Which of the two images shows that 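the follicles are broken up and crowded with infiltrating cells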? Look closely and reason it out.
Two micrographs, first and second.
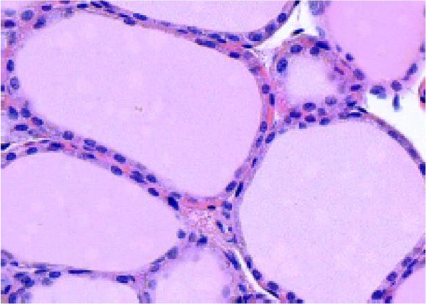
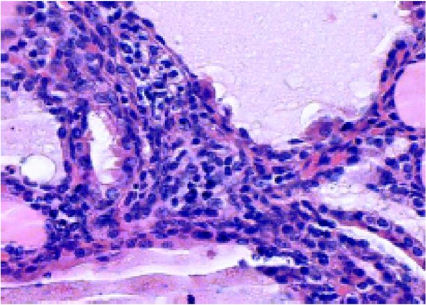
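The second image. First image: intact colloid-filled follicles with continuous single-layered lining and thin interstitium. Second image: follicle linings disrupted and dense cell sheets between colloid spaces.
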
